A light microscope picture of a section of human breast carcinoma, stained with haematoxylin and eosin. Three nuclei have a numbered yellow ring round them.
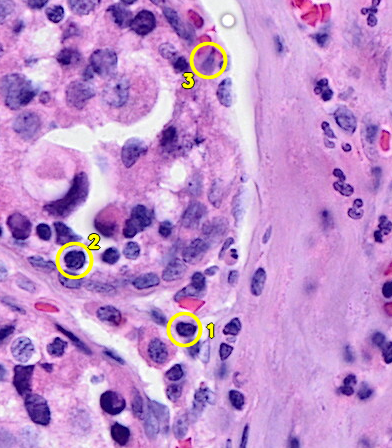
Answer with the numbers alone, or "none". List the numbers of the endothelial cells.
3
